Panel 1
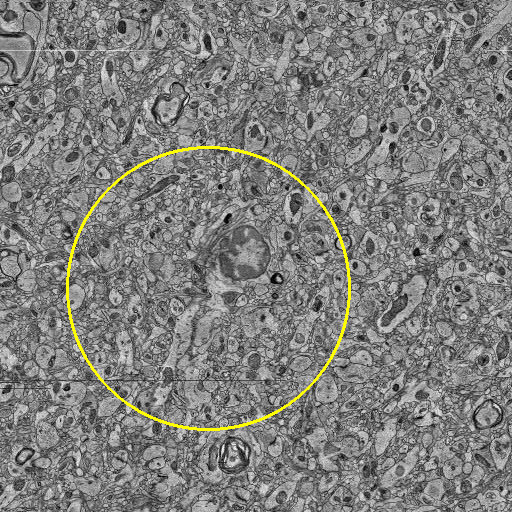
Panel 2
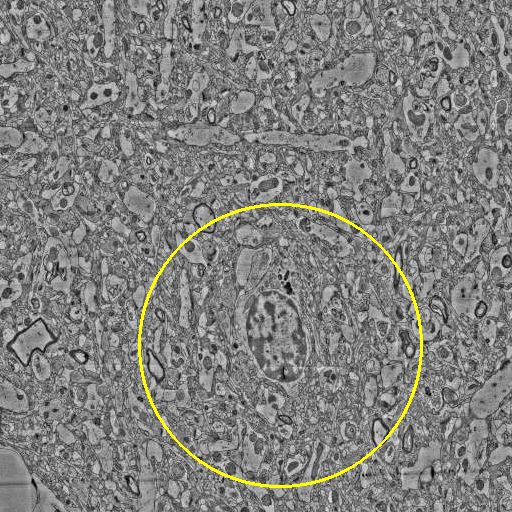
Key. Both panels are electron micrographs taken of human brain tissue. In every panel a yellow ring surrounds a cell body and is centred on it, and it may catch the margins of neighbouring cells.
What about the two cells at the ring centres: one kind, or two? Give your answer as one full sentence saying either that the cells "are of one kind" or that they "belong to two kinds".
Across Panels 1 and 2, the two cells at the ring centres are of one kind.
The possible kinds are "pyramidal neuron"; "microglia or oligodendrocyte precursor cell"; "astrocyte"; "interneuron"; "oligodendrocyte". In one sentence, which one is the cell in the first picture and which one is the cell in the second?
In the first picture and in the second, the ring is centred on a microglial cell or oligodendrocyte precursor cell.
